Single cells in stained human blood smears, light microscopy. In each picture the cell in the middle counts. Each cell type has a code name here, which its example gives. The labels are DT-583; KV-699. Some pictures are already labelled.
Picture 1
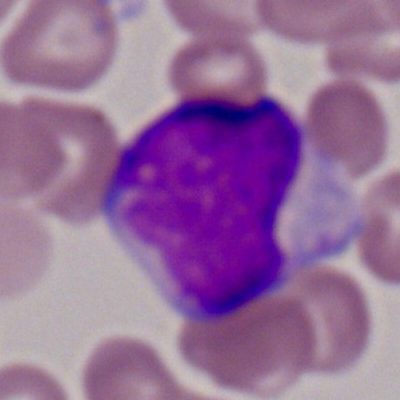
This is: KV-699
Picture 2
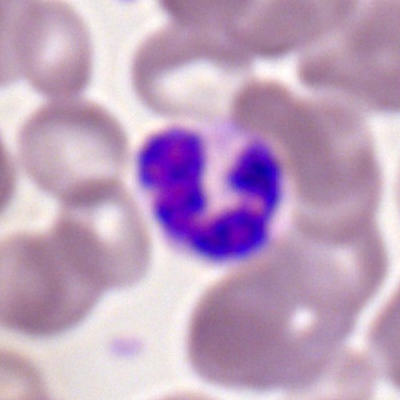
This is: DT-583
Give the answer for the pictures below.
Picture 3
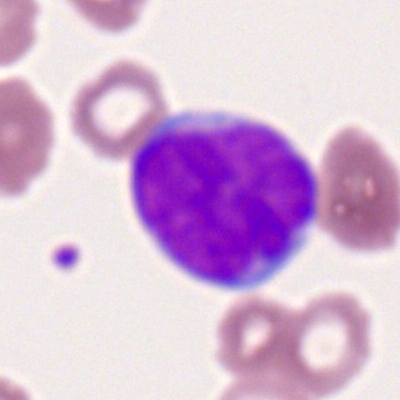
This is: KV-699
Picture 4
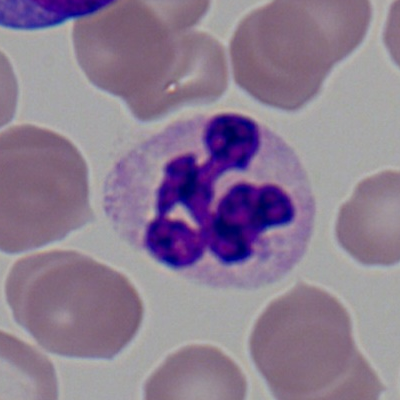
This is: DT-583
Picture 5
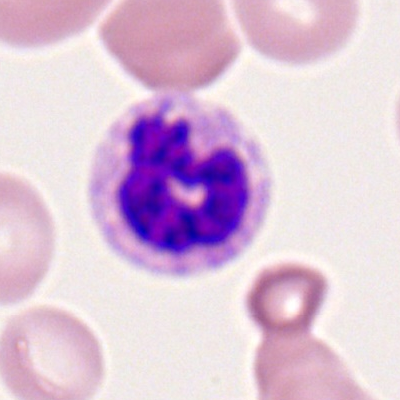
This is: DT-583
